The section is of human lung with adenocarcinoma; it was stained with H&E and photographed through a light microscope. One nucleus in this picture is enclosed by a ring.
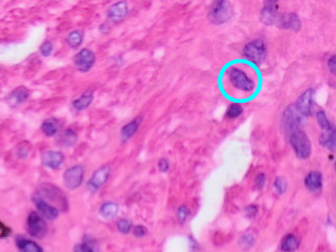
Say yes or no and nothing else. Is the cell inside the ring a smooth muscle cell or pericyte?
no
